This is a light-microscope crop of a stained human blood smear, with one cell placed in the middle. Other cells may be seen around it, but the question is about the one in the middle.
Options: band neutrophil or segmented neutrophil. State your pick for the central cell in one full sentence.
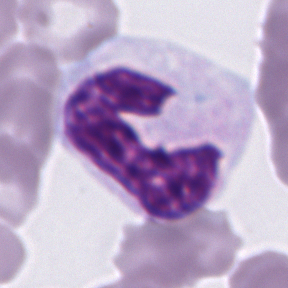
At the crop's centre, the cell is a band neutrophil.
